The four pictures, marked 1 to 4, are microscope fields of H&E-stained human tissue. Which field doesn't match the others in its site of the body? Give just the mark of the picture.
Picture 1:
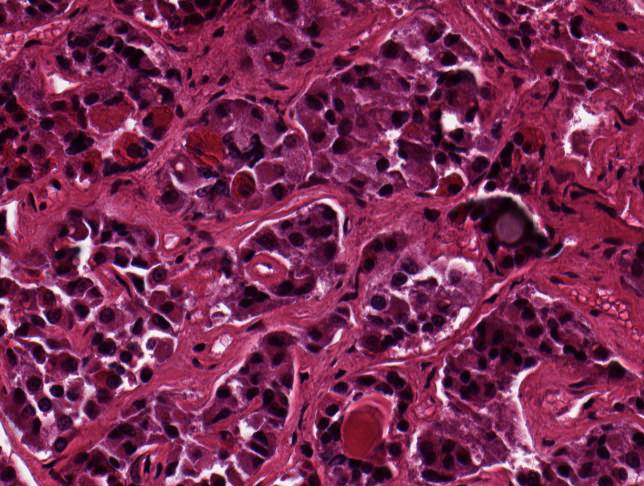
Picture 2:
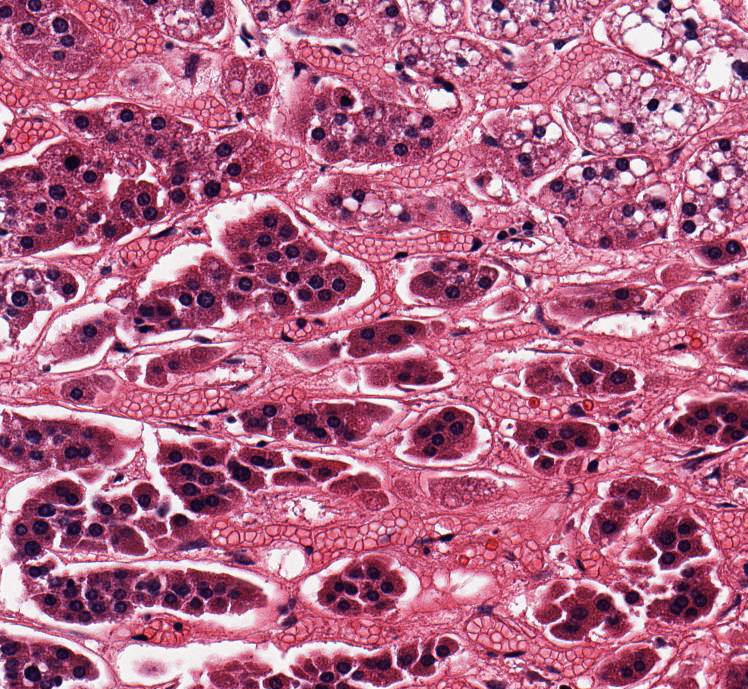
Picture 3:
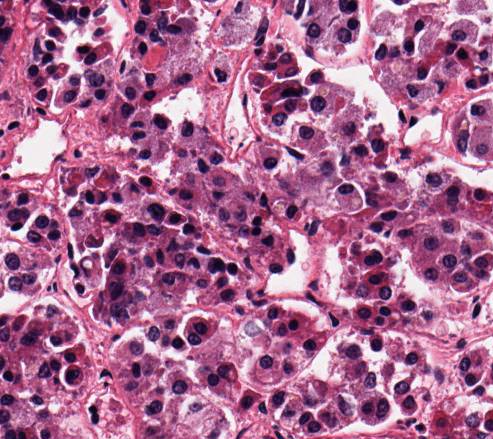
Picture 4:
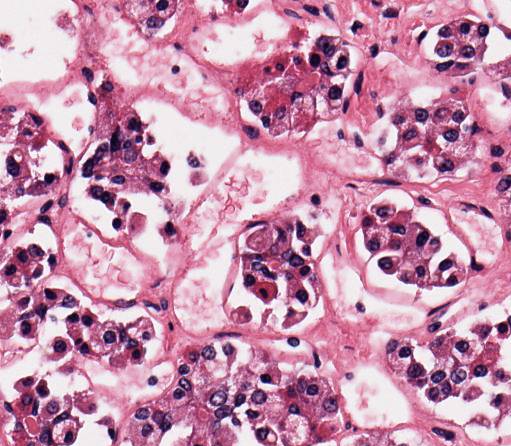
2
